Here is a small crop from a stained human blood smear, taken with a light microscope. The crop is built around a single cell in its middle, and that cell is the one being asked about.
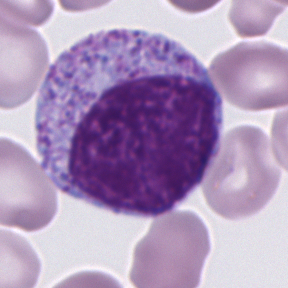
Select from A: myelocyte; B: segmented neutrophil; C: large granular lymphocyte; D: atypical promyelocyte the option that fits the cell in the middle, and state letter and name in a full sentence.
Option A gives the correct identity of the central cell, namely a myelocyte.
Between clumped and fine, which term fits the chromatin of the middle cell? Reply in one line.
In this cell the chromatin is fine rather than coarsely clumped.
